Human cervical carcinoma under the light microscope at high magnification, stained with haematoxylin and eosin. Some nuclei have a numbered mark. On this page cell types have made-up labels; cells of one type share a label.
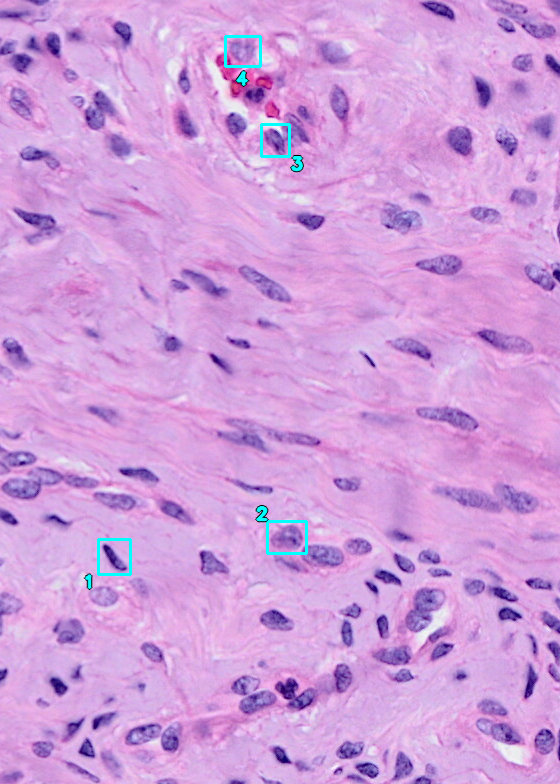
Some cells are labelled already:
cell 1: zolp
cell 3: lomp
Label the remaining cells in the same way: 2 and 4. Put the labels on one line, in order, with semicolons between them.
lomp; lomp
